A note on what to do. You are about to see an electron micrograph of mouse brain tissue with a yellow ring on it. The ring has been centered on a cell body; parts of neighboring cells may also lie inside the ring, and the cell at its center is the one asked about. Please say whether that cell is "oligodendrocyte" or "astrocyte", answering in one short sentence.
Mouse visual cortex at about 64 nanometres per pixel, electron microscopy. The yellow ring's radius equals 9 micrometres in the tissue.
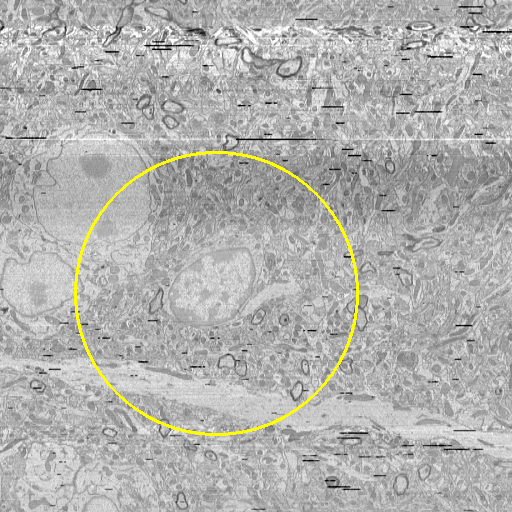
The yellow ring sits on an oligodendrocyte.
